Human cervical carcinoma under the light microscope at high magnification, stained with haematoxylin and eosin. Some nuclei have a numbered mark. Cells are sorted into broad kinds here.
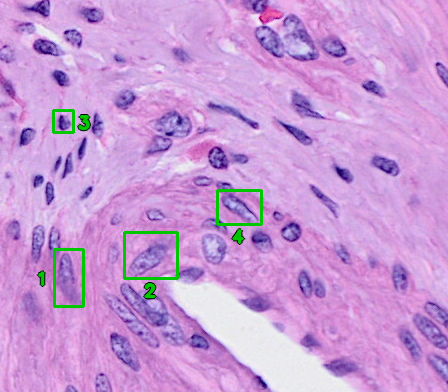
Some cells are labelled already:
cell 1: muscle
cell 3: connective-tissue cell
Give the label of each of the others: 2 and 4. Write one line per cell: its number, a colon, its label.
2: muscle
4: muscle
